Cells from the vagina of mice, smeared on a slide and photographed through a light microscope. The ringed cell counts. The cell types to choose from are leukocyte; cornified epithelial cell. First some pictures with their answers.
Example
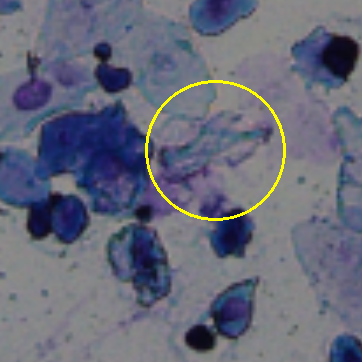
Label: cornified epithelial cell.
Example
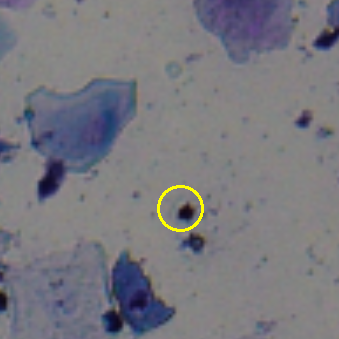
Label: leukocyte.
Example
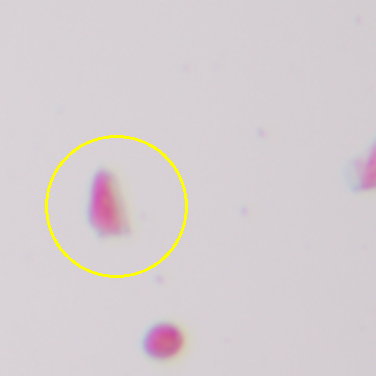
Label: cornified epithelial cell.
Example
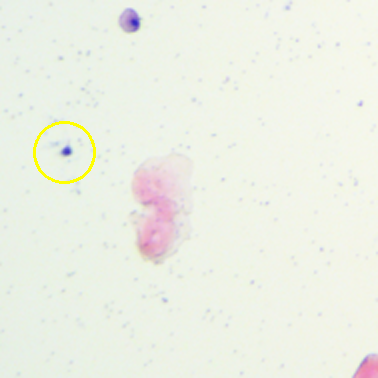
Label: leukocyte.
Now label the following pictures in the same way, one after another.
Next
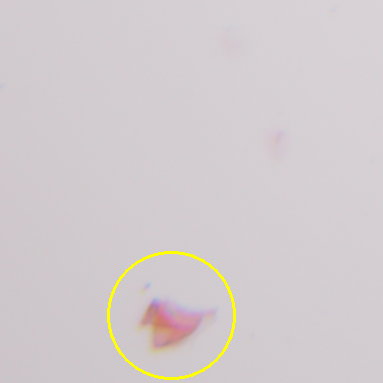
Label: cornified epithelial cell.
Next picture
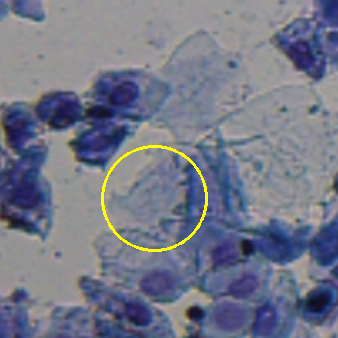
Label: cornified epithelial cell.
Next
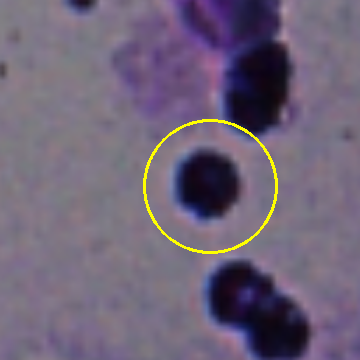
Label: leukocyte.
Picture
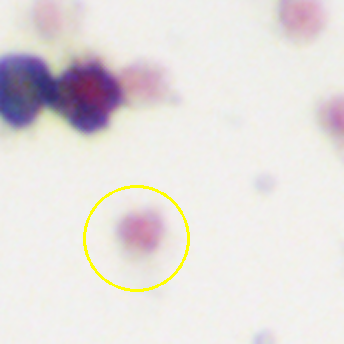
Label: leukocyte.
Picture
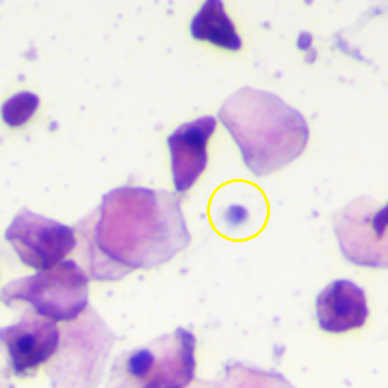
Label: leukocyte.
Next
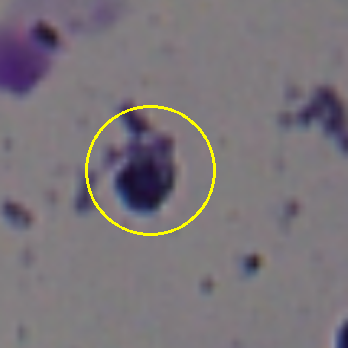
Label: leukocyte.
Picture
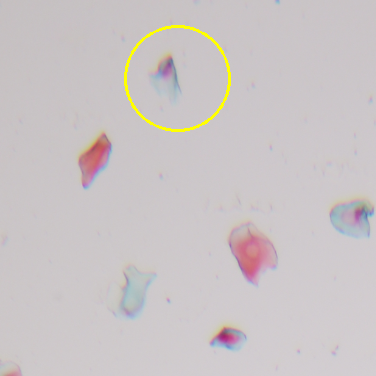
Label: cornified epithelial cell.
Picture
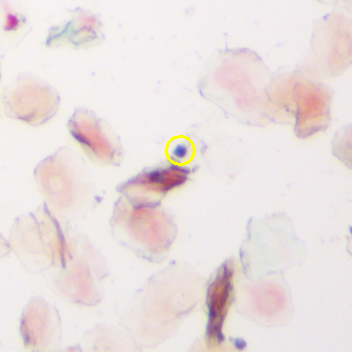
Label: leukocyte.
